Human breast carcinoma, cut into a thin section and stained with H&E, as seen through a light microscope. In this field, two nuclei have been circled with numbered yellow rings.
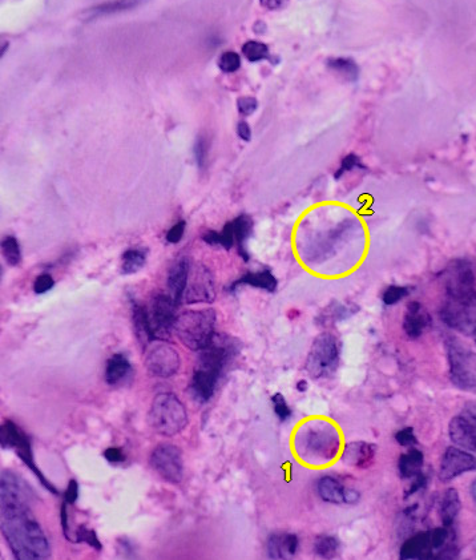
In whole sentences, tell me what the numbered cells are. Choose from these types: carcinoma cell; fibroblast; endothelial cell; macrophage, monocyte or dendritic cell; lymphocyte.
Cell 1 is an endothelial cell and cell 2 is a fibroblast.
